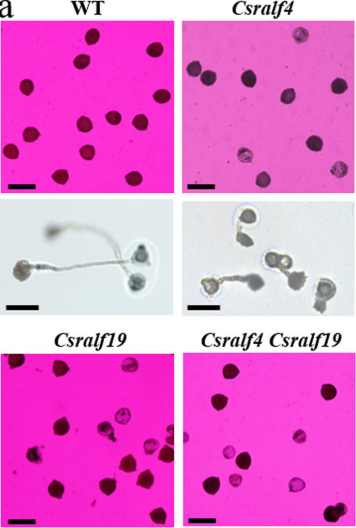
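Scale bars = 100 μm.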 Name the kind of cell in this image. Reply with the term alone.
Pollens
